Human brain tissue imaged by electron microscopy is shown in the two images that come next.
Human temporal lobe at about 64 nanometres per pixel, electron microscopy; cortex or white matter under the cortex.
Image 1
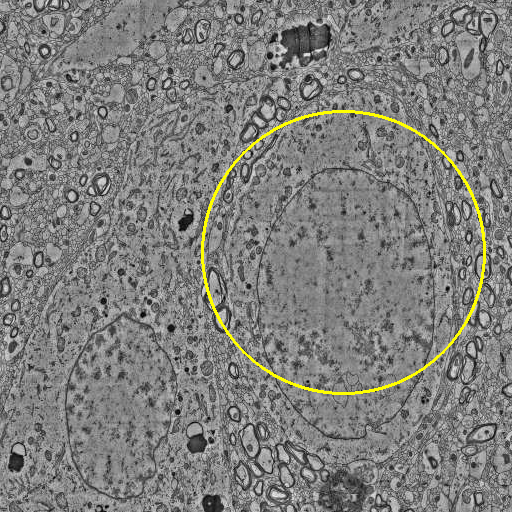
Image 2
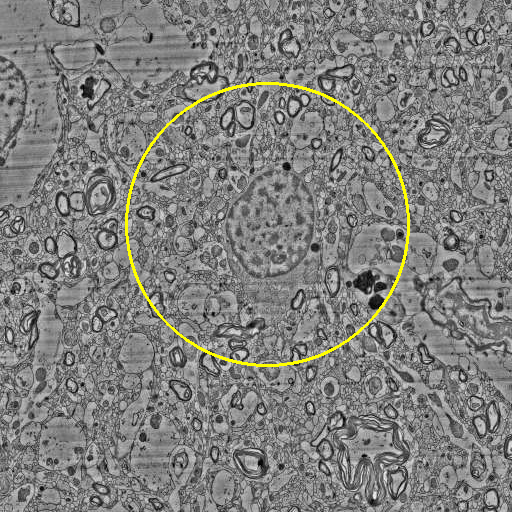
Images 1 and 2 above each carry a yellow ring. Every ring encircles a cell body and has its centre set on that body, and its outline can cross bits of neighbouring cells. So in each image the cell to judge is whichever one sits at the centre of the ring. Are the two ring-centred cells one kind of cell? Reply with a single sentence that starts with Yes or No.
No, in Image 1 and Image 2 the cells at the centres of their rings fall into two types.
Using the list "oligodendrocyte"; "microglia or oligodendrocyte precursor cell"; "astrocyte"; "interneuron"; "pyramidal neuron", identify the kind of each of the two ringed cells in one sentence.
The first is a pyramidal neuron and the second is an oligodendrocyte.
